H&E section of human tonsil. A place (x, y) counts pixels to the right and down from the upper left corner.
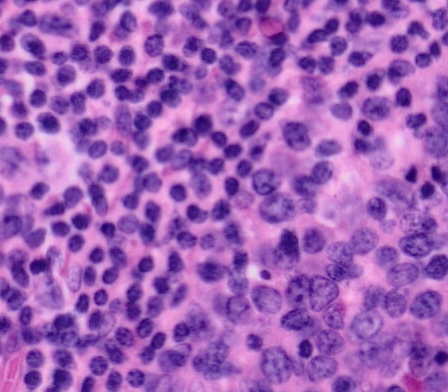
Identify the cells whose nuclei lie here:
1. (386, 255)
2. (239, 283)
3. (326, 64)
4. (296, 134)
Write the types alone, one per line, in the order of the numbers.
proliferating B cell
proliferating B cell
small lymphocyte
proliferating B cell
